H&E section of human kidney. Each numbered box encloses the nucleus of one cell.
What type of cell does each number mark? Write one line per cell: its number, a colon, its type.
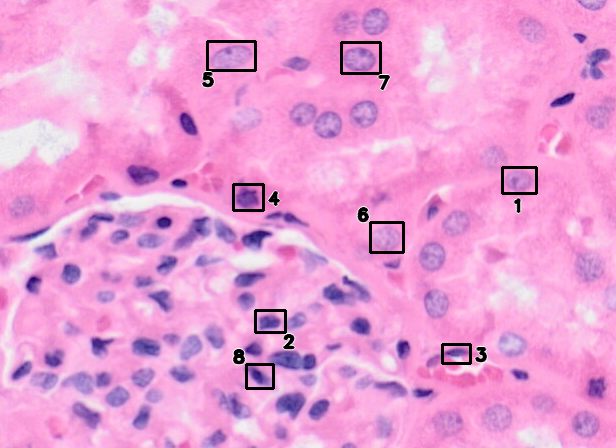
1: proximal tubule cell
2: endothelial cell
3: endothelial cell
4: proximal tubule cell
5: proximal tubule cell
6: proximal tubule cell
7: proximal tubule cell
8: endothelial cell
